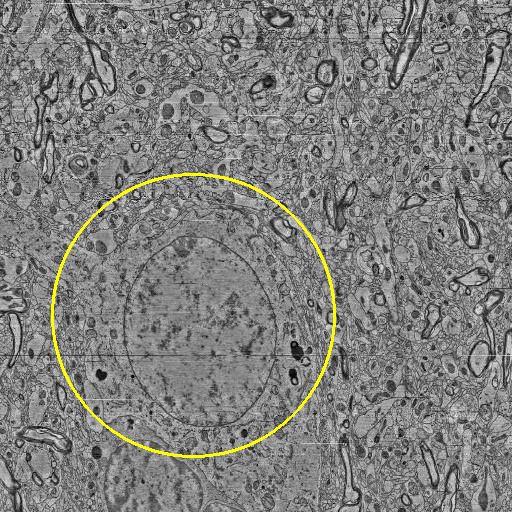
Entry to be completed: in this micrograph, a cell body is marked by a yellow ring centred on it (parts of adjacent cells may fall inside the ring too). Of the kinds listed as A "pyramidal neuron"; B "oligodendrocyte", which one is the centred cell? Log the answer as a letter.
A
